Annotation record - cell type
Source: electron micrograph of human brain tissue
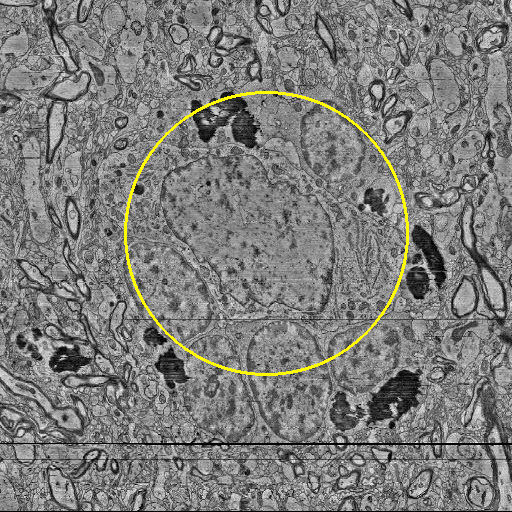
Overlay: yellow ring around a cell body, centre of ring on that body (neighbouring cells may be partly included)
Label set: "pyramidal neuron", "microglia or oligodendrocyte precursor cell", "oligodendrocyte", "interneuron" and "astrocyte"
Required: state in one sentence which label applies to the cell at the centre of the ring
This cell should be labelled as an interneuron.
